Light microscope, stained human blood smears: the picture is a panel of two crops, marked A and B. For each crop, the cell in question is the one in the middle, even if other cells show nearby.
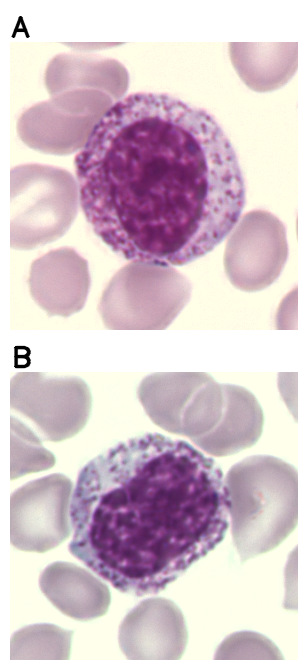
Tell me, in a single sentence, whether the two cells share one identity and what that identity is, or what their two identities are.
Yes, both crops show a cell each, and these are metamyelocytes.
